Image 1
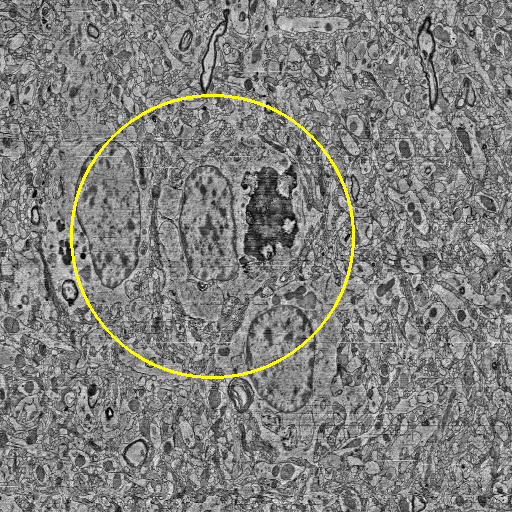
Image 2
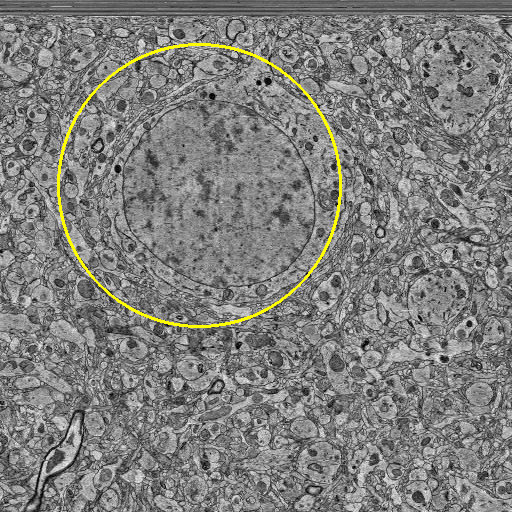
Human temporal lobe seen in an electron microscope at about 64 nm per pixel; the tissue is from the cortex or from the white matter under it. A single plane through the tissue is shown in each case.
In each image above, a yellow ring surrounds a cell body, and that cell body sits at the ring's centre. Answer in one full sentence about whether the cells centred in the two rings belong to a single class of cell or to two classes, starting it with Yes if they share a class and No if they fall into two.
No, the cells centred in the two yellow rings belong to two classes of cell.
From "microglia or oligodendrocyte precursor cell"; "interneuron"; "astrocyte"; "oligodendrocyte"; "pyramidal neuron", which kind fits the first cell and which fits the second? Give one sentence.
The cell marked in the first picture is an astrocyte, and the one marked in the second is a pyramidal neuron.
